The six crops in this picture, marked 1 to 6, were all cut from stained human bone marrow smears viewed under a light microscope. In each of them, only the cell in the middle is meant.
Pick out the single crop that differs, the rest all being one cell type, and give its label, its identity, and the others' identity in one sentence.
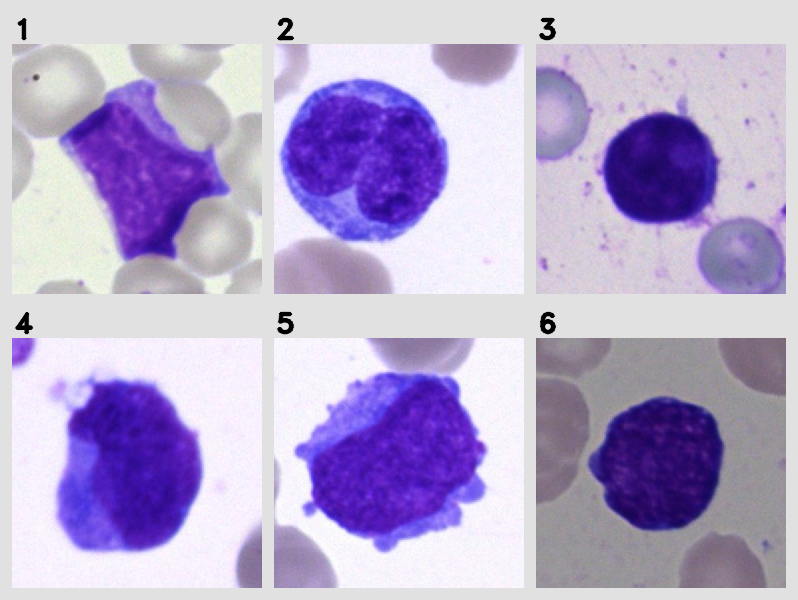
Crop 3 is the exception here: it is a lymphocyte, and the others are blasts.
